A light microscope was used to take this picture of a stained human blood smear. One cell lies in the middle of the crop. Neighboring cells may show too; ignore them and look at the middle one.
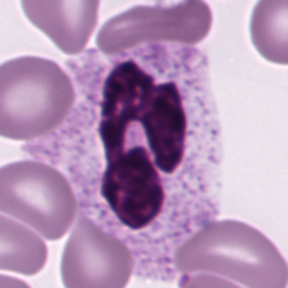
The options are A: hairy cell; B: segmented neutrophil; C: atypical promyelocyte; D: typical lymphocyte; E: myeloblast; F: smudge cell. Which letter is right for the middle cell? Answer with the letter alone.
B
